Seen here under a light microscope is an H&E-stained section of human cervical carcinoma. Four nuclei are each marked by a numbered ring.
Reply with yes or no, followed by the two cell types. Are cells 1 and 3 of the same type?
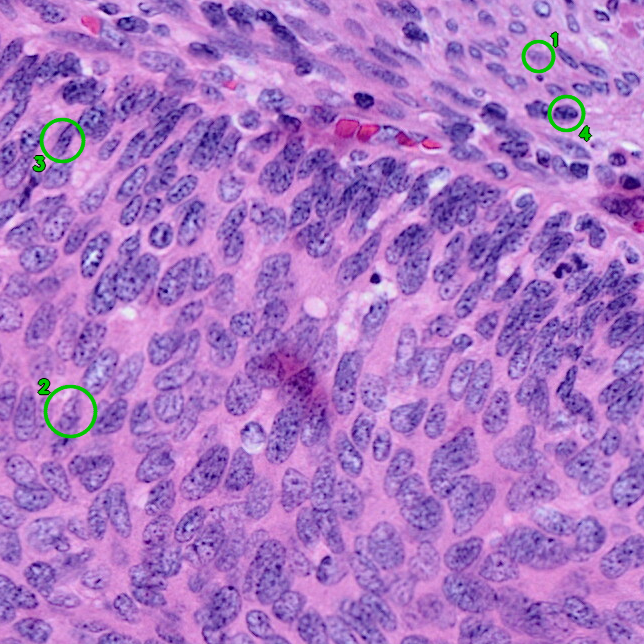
No, cell 1 here is a smooth muscle cell and cell 3 here is a squamous carcinoma cell.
